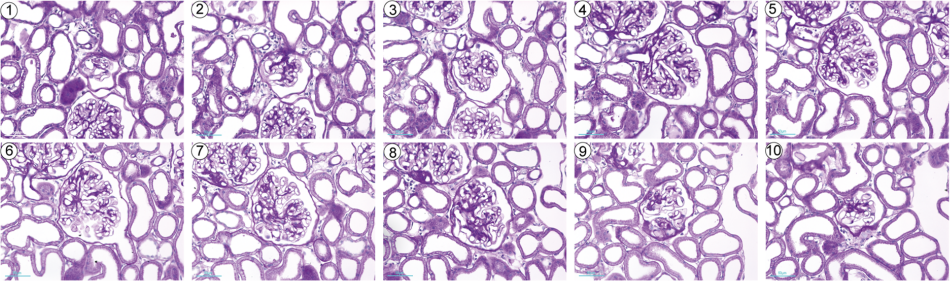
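This is a series of ten consecutive sections through kidney cortex, stained purple-magenta, following the same glomerulus from section to section. In each section, a rounded capillary tuft lies in a pale space enclosed by a thin capsule, and cross-sectioned tubules with magenta-lined walls crowd around it. The tubules have clear or pale lumens and a single layer of lining cells with small dark nuclei. Across the series, the tuft grows larger and then smaller again as the sections pass through it. In the middle sections, the tuft lies close to where it connects to the surrounding tissue, and some denser, more solidly stained areas are visible within it.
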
